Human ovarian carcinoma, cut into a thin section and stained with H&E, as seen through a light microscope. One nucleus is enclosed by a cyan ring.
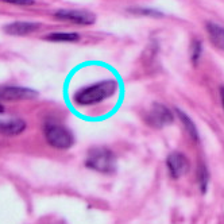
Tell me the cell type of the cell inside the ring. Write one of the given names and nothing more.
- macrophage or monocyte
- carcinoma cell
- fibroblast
macrophage or monocyte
